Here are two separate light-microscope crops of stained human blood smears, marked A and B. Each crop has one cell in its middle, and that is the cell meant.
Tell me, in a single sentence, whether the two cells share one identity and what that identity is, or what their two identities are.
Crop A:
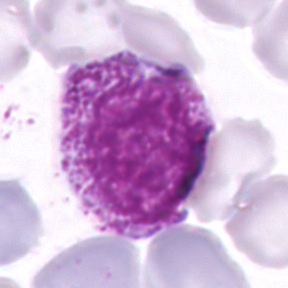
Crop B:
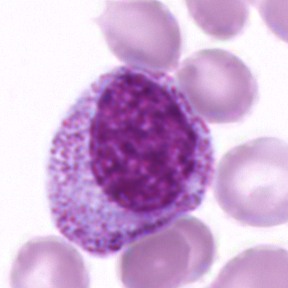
Yes, myelocytes are what the two crops show.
